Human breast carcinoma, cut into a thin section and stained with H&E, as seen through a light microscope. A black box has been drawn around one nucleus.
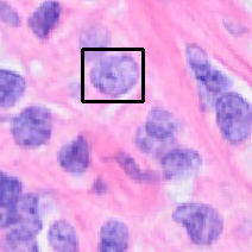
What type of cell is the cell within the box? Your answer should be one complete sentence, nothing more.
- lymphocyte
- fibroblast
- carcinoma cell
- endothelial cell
To be brief about it, the cell within the box is a carcinoma cell.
